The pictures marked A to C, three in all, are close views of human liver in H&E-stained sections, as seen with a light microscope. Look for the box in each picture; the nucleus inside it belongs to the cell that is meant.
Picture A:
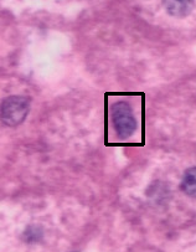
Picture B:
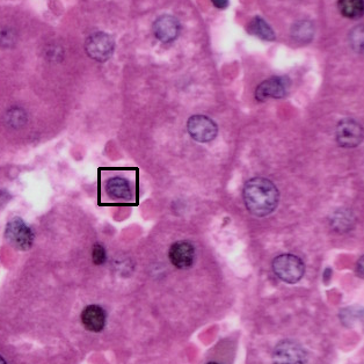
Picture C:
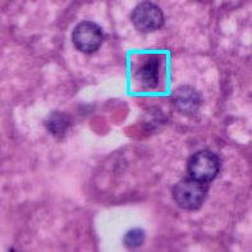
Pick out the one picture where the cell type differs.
C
